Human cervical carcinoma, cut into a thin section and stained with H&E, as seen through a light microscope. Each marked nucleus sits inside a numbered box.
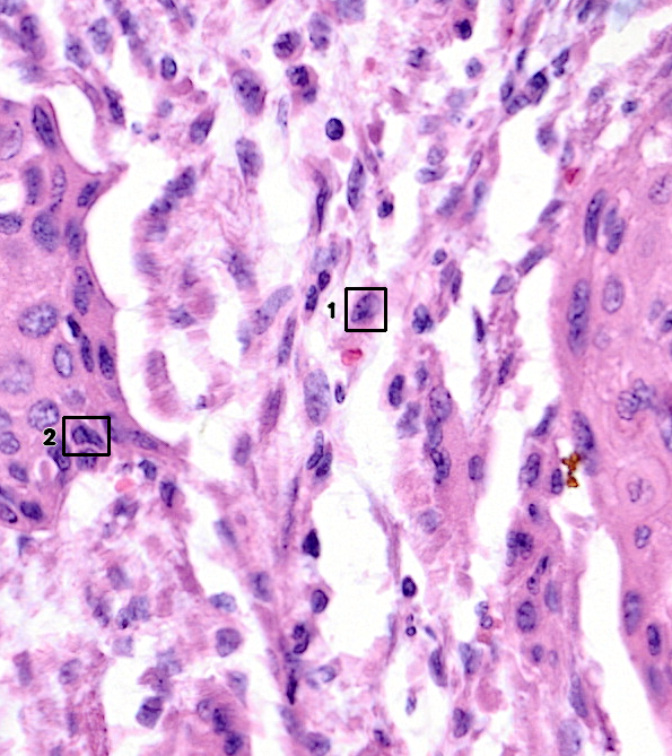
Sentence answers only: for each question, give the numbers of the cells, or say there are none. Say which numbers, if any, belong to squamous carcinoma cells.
The numbered cells include exactly one that is a squamous carcinoma cell, which is cell 2.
